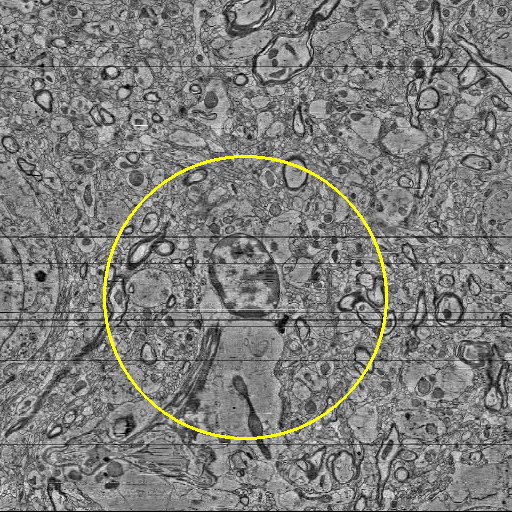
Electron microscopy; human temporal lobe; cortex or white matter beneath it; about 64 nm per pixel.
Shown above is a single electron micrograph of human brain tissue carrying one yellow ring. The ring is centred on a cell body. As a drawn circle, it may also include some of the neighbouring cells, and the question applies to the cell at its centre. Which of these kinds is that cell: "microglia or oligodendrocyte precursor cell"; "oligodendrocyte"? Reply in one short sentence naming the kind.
The cell marked by the ring is a microglial cell or oligodendrocyte precursor cell.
